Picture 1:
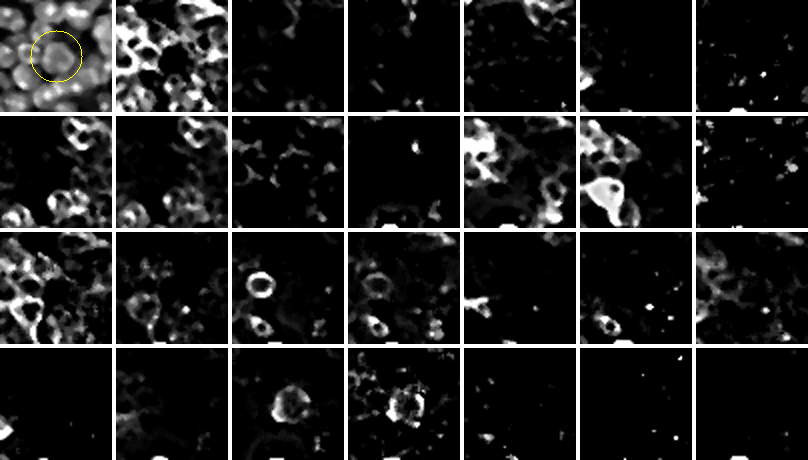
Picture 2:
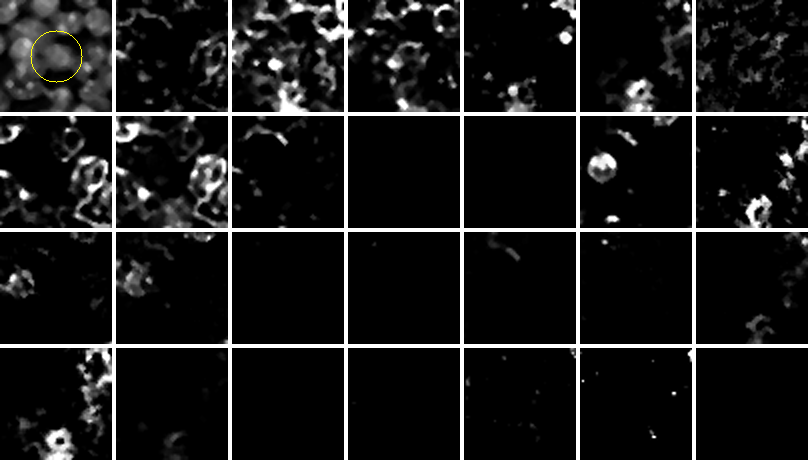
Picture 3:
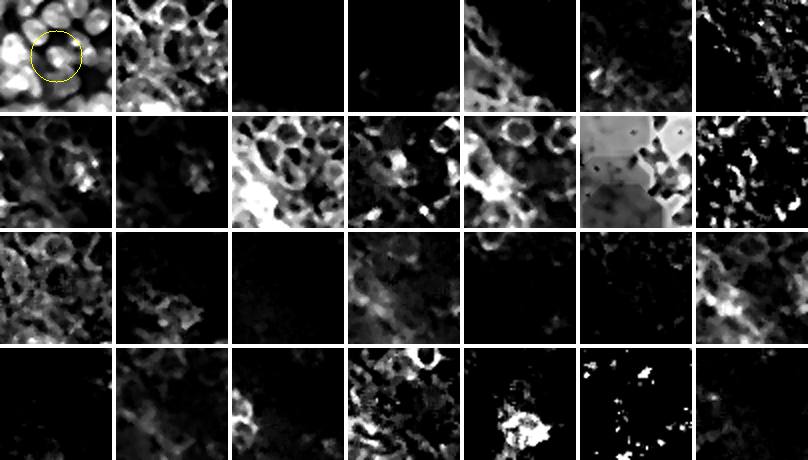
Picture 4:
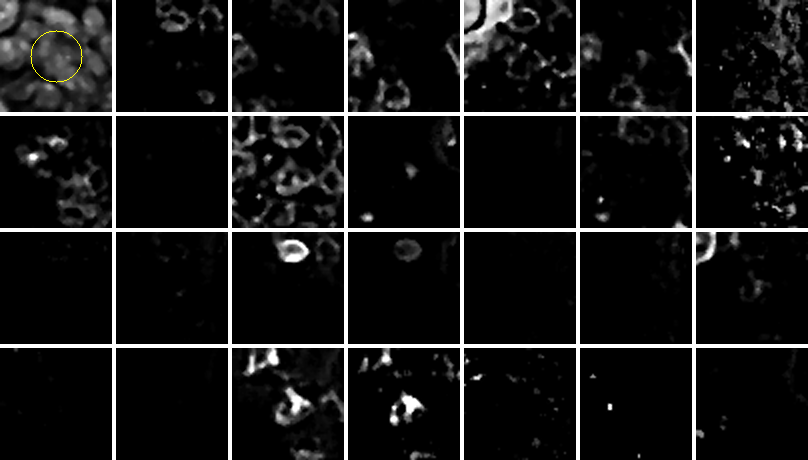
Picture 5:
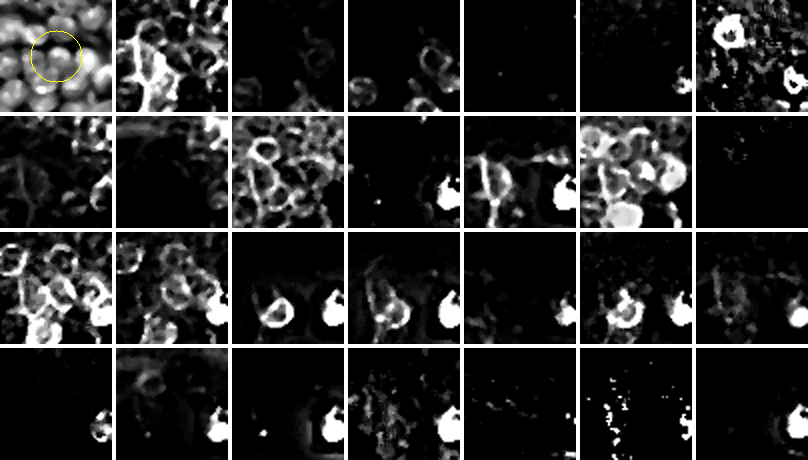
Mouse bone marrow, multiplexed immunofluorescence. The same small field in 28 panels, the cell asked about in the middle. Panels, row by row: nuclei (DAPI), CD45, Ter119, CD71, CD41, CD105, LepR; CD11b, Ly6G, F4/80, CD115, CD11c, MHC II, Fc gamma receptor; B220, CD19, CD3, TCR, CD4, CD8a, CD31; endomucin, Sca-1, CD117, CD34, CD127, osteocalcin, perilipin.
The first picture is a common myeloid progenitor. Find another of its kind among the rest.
Picture 4.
